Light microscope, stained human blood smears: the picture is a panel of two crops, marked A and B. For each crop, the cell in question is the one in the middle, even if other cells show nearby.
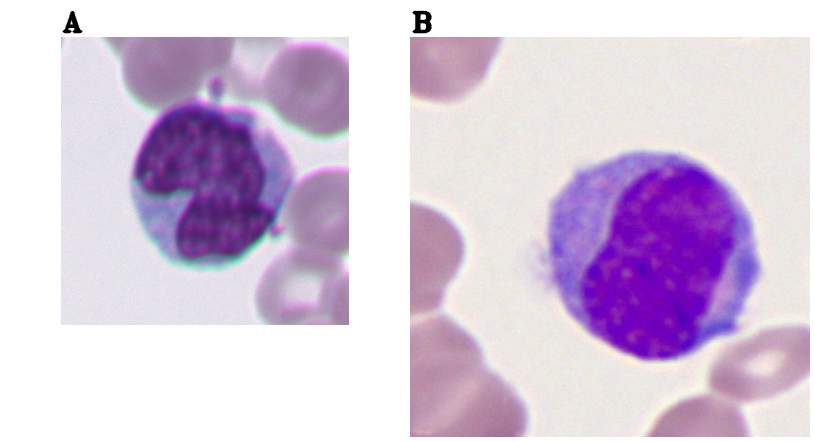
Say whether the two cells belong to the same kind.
yes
